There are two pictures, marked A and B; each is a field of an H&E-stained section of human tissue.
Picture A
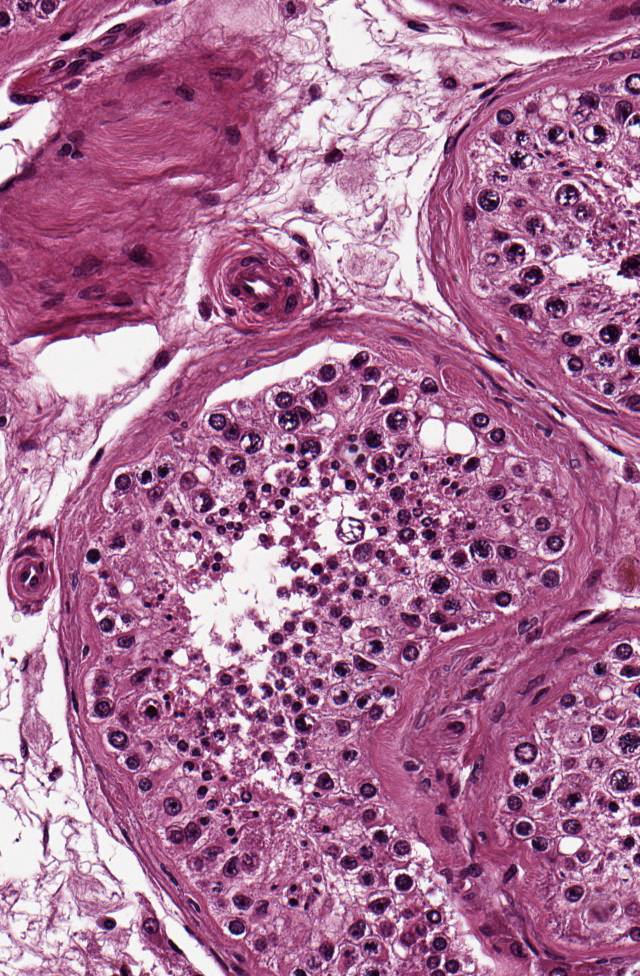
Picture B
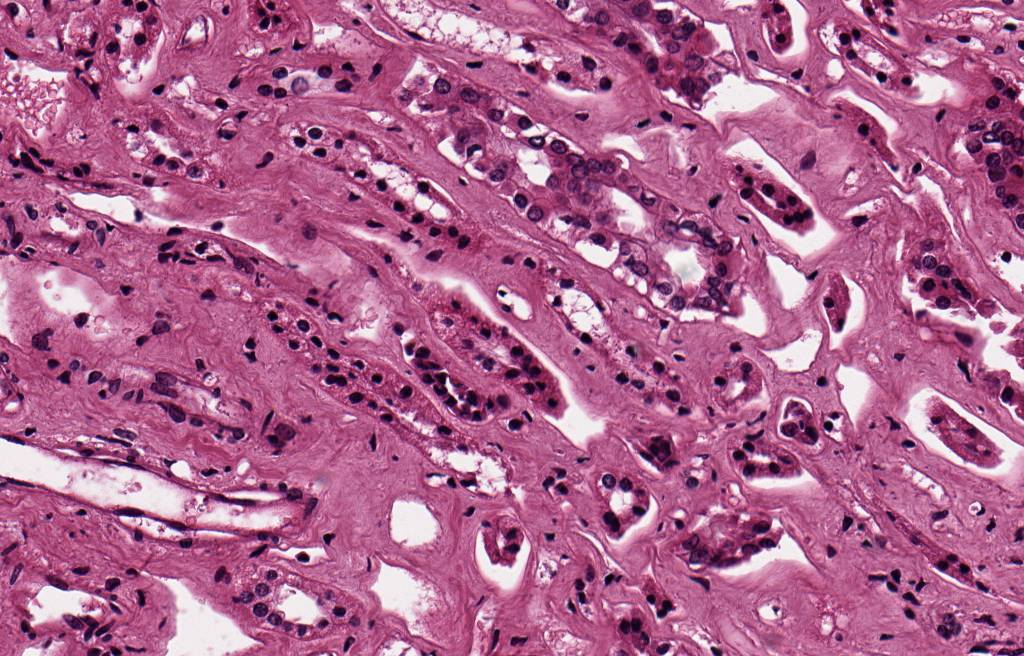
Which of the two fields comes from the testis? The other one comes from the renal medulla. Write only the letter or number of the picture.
A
